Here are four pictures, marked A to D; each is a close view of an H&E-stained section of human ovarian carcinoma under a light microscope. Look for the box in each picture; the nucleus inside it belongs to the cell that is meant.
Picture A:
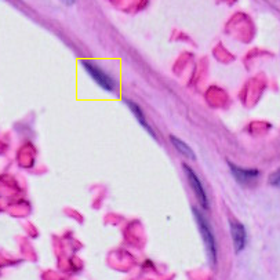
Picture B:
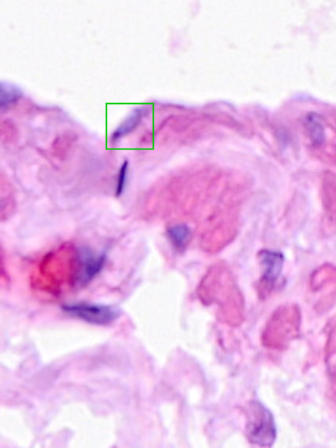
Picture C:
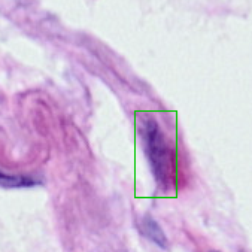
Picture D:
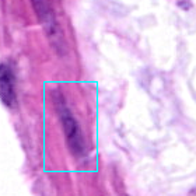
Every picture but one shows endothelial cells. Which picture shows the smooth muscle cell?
D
